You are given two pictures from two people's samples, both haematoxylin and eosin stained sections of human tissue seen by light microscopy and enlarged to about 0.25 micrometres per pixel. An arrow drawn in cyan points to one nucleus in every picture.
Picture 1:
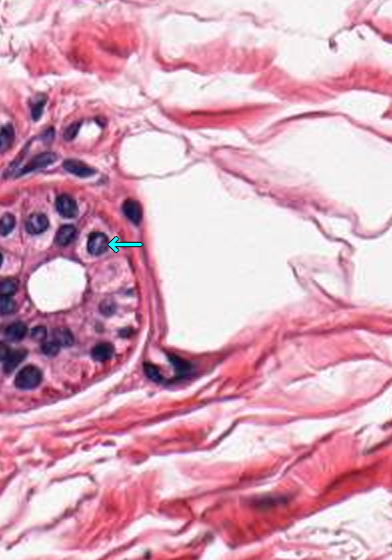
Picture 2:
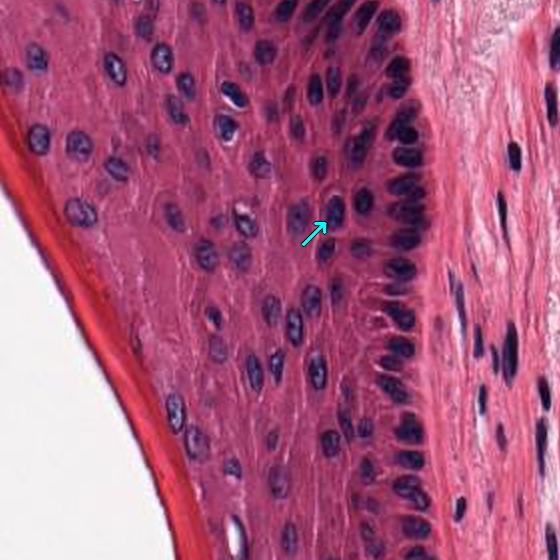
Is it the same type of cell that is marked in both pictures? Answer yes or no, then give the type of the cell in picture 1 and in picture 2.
No, the first is a sweat gland cell and the second a keratinocyte.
